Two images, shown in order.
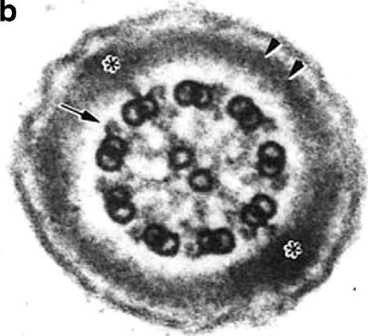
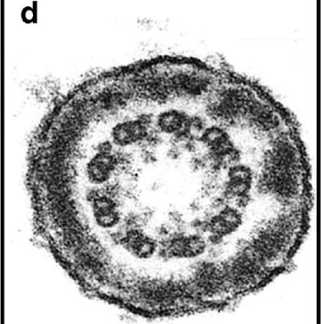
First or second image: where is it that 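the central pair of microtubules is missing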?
The second image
